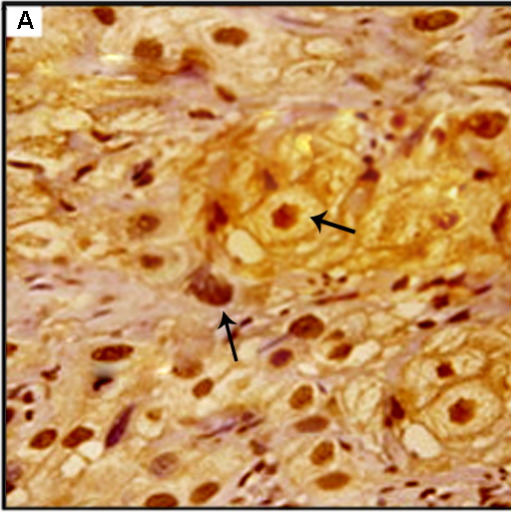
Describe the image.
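The tumor cells are large and polygonal, with abundant cytoplasm and enlarged, rounded to irregular nuclei that vary in size. Both the nuclei and the cytoplasm are coloured brown, the nuclei more darkly. Some cells have pale, clear areas in their cytoplasm, and smaller elongated cells lie in the strands of stroma between the nests.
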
